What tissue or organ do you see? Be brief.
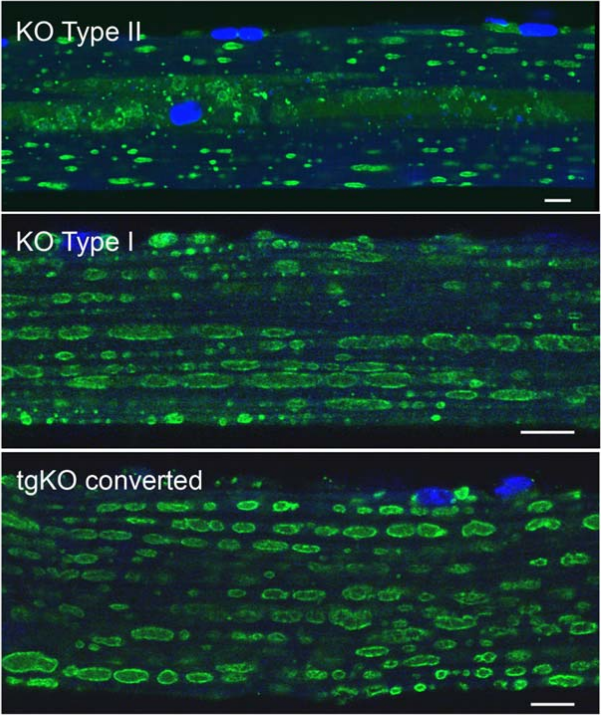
Single muscle fibers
